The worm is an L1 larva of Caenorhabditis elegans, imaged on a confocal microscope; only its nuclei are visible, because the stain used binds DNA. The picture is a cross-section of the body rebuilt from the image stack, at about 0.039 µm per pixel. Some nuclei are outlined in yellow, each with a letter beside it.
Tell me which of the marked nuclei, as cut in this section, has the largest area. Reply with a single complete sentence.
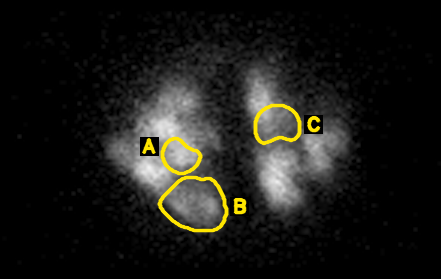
B has the largest area in this section.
